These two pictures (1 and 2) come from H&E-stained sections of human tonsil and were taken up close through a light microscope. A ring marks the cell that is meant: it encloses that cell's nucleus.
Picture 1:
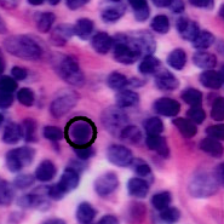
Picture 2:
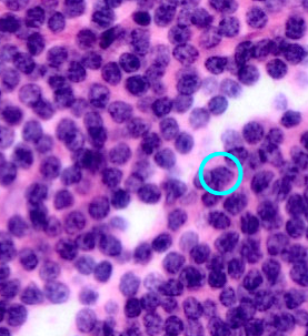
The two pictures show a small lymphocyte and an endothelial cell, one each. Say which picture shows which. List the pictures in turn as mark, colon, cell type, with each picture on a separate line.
1: endothelial cell
2: small lymphocyte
